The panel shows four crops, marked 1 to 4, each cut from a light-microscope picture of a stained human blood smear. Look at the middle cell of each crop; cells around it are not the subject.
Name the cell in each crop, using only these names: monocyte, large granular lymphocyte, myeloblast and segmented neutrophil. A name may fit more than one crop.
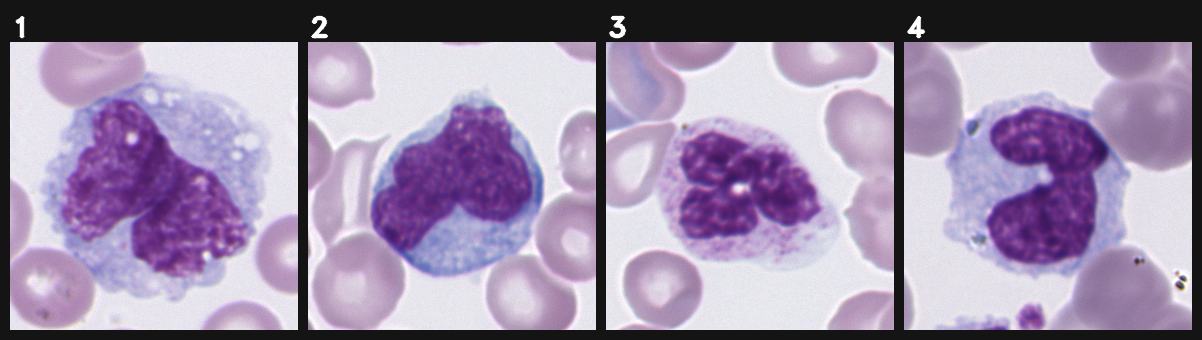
1: monocyte
2: monocyte
3: segmented neutrophil
4: monocyte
